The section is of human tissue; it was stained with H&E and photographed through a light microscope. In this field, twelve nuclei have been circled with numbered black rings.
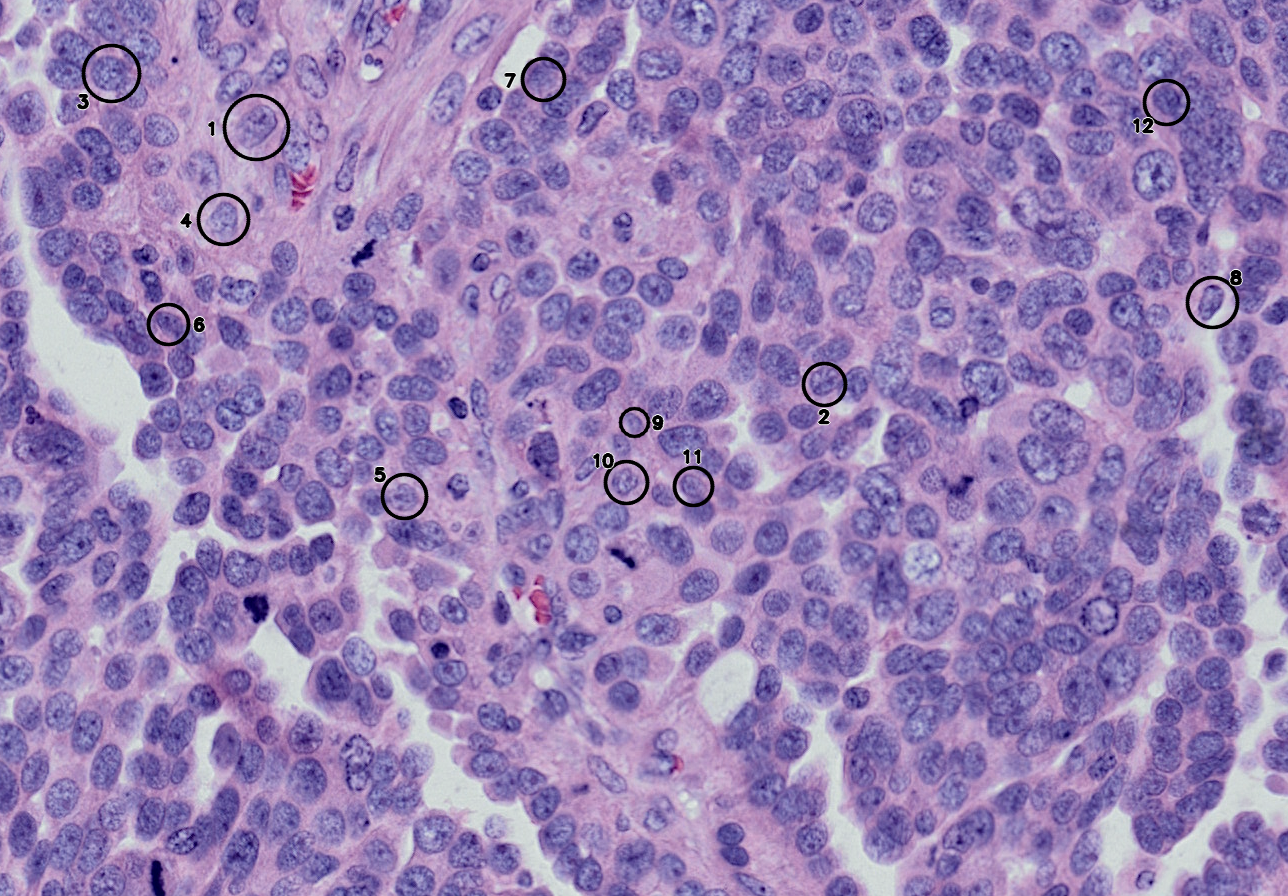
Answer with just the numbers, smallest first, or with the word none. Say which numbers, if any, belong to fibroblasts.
1, 4, 9, 10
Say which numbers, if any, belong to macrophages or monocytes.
8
